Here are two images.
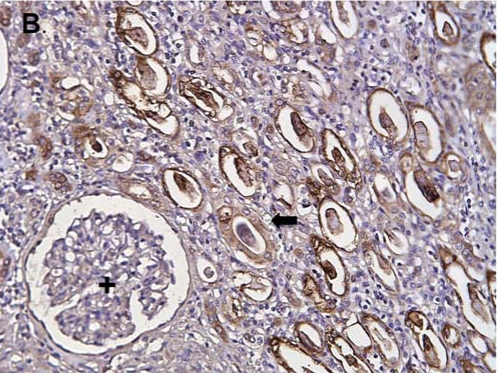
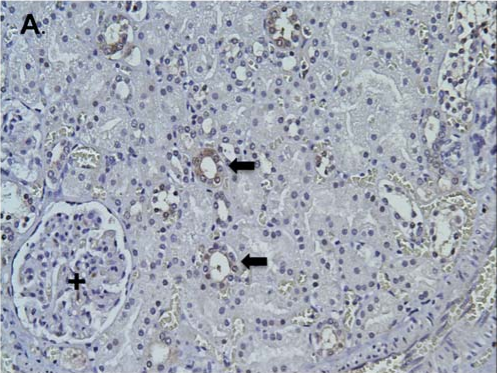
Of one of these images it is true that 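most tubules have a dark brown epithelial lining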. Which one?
the first image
